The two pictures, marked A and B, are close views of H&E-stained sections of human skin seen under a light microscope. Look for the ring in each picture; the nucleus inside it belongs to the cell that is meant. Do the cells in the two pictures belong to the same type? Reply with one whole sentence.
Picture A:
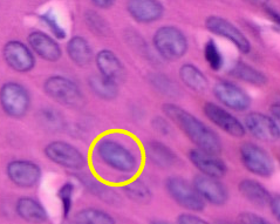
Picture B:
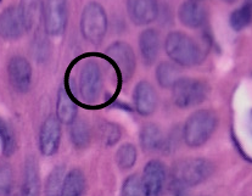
No. Picture A shows a suprabasal keratinocyte, but picture B shows a basal keratinocyte.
